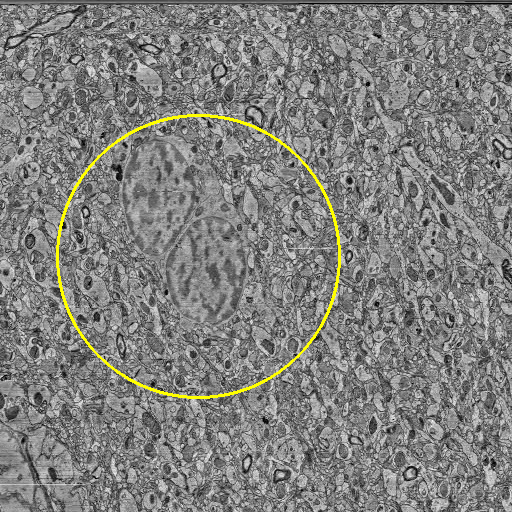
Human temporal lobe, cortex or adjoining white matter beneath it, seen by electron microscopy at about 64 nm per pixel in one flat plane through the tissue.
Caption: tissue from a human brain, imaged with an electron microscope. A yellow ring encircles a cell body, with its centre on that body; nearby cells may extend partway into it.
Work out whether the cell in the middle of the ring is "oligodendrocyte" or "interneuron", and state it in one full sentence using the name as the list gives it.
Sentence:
In the picture, the cell that the yellow ring surrounds at its centre is an oligodendrocyte.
